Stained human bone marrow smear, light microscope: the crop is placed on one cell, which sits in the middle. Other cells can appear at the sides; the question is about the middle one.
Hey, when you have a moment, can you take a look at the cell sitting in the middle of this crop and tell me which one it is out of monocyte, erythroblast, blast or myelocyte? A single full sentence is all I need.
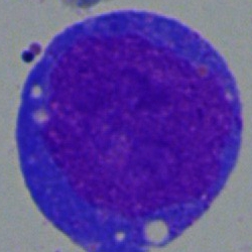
The cell that lies at the centre of the crop is a blast.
